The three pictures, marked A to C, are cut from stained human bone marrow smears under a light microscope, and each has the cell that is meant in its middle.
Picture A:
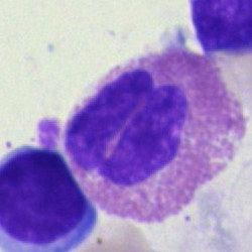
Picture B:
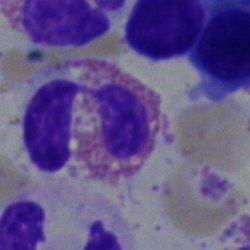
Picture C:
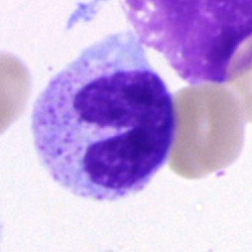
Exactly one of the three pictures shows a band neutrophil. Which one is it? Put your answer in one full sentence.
The band neutrophil is the one in picture C.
